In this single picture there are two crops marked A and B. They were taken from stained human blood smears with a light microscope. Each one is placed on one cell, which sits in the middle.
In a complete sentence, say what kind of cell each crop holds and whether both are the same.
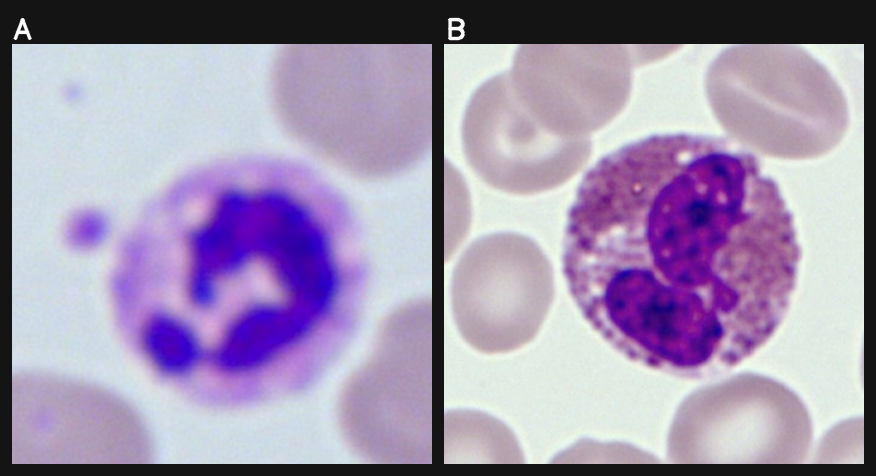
No, the correct reading is a neutrophil in crop A and an eosinophil in crop B.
